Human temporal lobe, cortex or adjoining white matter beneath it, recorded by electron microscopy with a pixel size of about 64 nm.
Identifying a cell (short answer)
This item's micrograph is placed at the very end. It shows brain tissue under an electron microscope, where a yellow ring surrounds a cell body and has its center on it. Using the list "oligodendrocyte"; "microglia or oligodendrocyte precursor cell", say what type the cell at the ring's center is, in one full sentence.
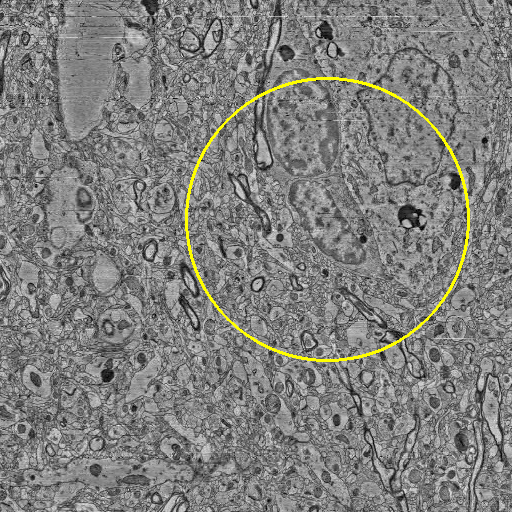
This picture shows an oligodendrocyte at the center of the yellow ring drawn on it.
